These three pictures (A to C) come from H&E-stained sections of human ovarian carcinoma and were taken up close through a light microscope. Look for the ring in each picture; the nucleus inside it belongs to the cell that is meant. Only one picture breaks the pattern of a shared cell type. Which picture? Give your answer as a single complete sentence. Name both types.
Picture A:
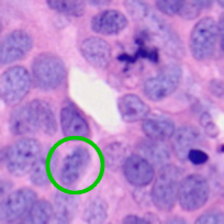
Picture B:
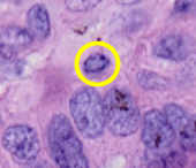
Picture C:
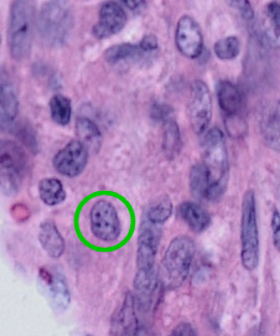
The others show “macrophages or monocytes”, but picture A shows a carcinoma cell.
